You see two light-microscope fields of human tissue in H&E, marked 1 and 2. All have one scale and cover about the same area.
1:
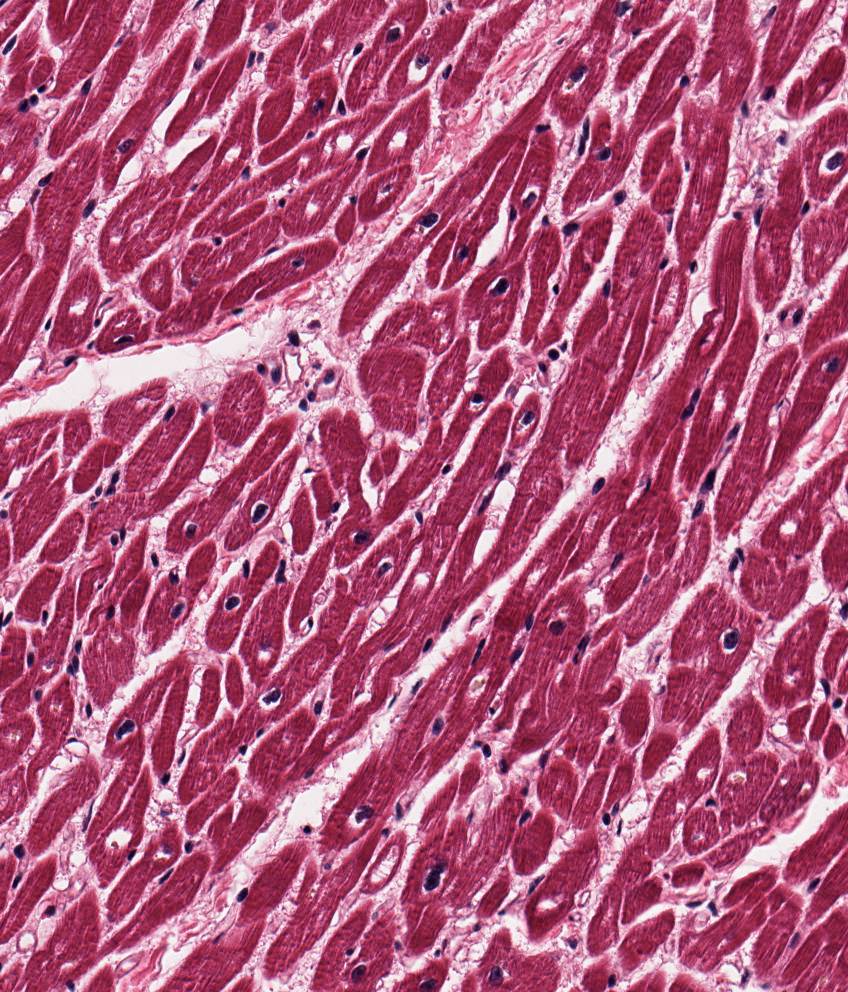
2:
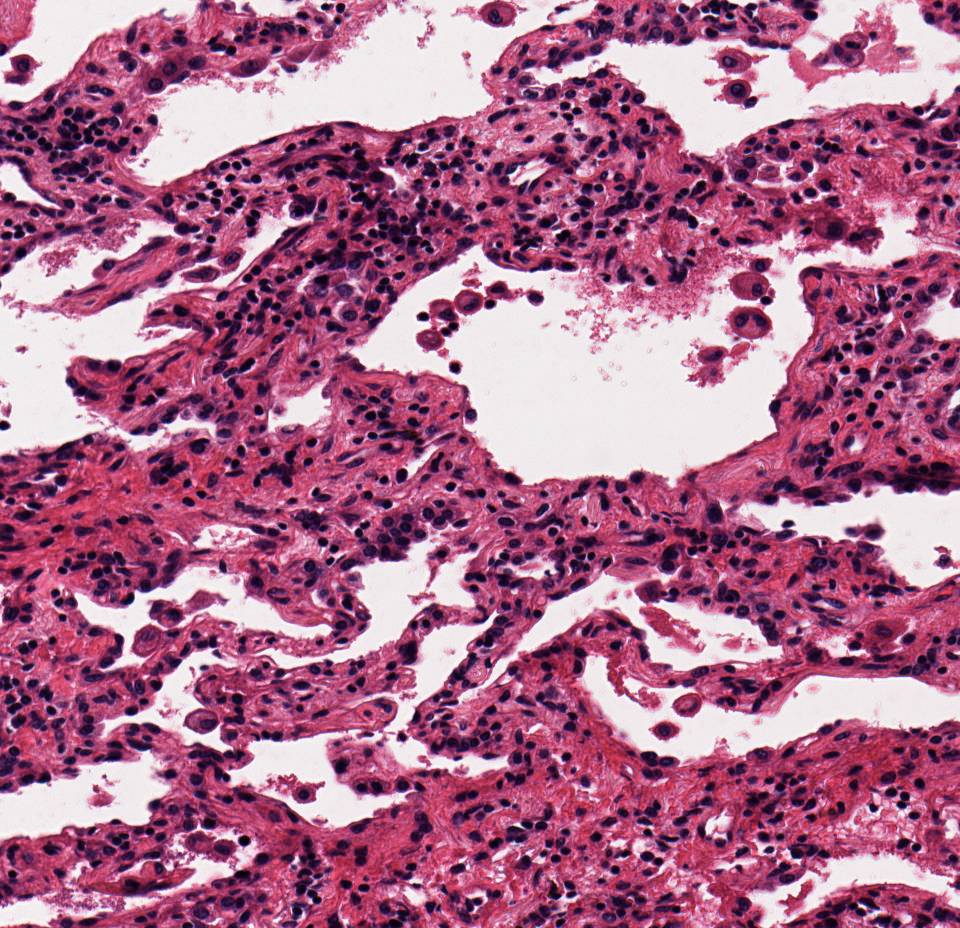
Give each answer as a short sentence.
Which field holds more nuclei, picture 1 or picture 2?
Picture 2 holds more nuclei than picture 1.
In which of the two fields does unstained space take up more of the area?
More of picture 2 is empty and white.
